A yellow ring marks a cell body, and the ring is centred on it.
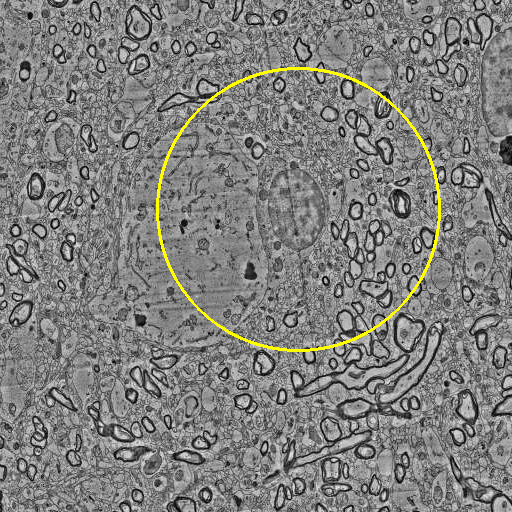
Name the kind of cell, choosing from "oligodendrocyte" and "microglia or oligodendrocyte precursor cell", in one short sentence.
The marked cell body belongs to an oligodendrocyte.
